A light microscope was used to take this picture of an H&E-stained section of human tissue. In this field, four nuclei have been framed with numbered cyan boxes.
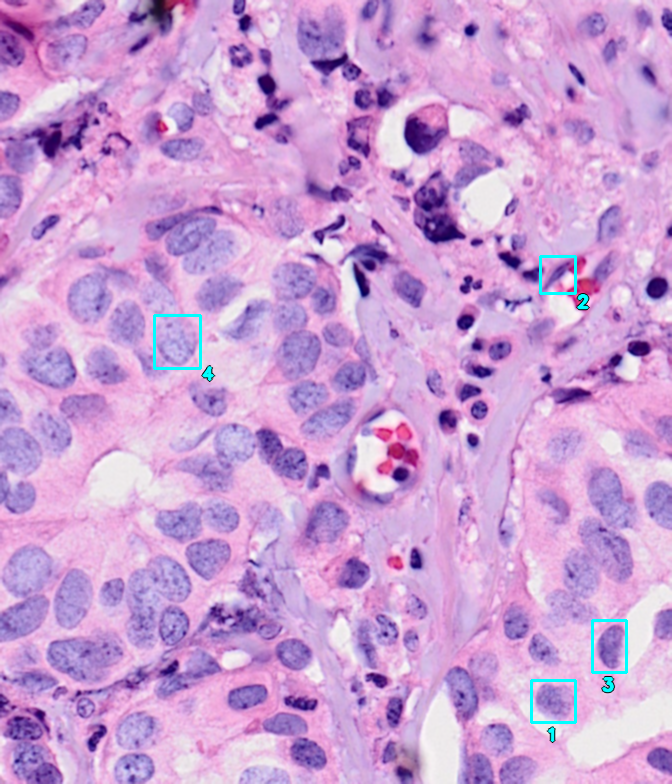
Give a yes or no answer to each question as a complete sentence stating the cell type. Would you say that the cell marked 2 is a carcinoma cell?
No, the cell tagged 2 is an endothelial cell, and not a carcinoma cell.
